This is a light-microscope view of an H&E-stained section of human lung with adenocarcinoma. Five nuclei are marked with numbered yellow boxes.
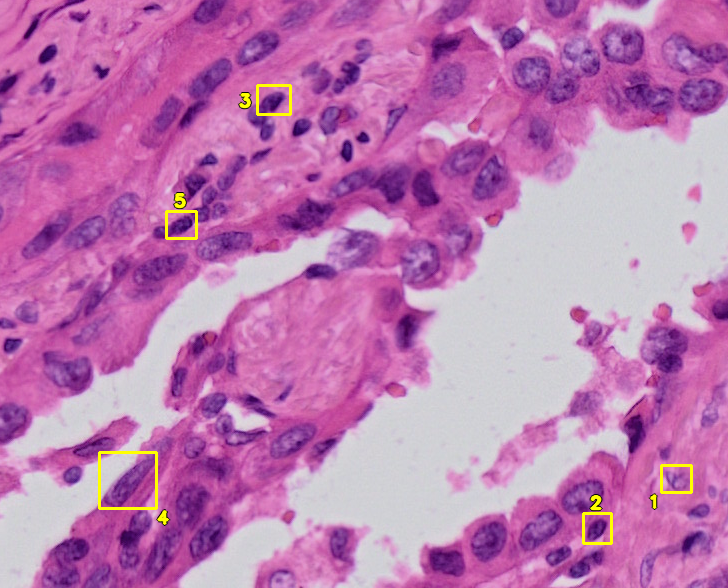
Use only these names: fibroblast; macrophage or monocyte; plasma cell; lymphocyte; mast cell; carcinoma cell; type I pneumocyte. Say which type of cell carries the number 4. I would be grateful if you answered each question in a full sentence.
Cell 4, among those numbered, is a carcinoma cell.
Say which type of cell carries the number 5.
The cell referred to as 5 is a lymphocyte.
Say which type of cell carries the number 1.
The cell with the number 1 is a fibroblast.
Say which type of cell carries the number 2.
The nucleus labelled 2 belongs to a lymphocyte.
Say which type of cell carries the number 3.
The cell tagged with 3 in this tissue section is a lymphocyte.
